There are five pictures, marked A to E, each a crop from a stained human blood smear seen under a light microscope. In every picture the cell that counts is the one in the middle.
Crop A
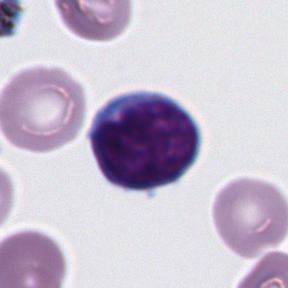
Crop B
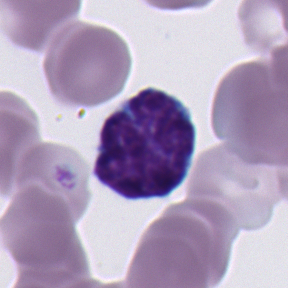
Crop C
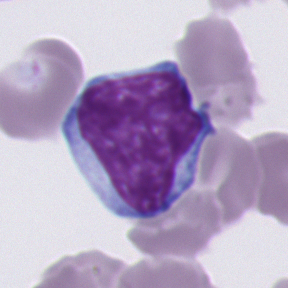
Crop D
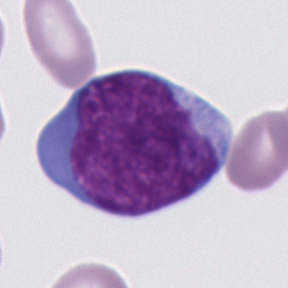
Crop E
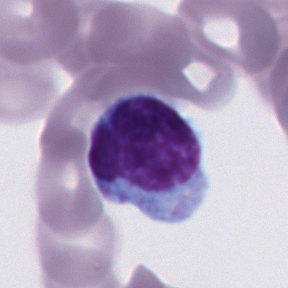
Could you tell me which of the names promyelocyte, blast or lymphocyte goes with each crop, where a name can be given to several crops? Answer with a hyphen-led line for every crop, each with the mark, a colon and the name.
- A: lymphocyte
- B: lymphocyte
- C: lymphocyte
- D: blast
- E: lymphocyte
